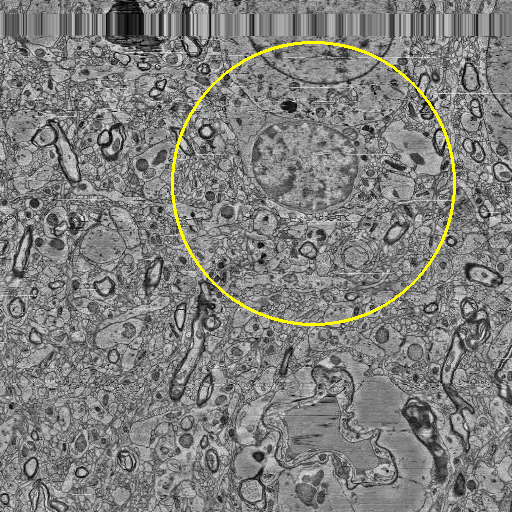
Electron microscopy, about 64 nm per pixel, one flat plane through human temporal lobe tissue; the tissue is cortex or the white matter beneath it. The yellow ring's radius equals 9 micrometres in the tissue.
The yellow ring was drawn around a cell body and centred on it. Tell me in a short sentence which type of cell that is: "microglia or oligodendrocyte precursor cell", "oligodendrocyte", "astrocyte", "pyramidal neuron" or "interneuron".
The cell at the ring's centre is an oligodendrocyte.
